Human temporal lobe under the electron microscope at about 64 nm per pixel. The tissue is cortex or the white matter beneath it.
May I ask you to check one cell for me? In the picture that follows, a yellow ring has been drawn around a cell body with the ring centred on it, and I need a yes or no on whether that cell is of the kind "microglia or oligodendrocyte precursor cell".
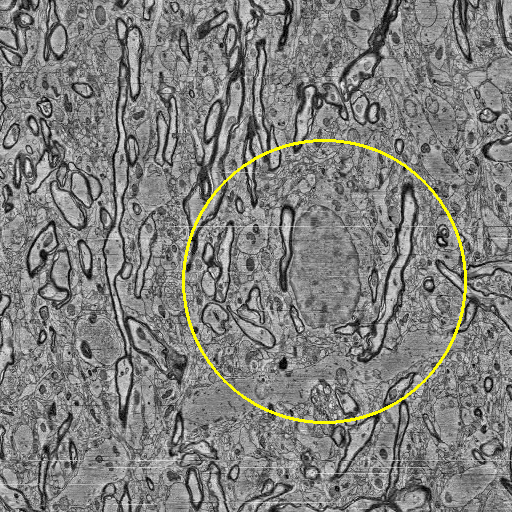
No, it is some other kind of cell.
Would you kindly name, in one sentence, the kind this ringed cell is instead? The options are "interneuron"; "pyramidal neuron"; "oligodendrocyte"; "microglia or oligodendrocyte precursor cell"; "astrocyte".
Instead, the ring in this picture marks an oligodendrocyte.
